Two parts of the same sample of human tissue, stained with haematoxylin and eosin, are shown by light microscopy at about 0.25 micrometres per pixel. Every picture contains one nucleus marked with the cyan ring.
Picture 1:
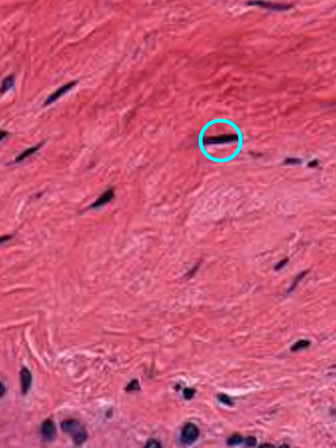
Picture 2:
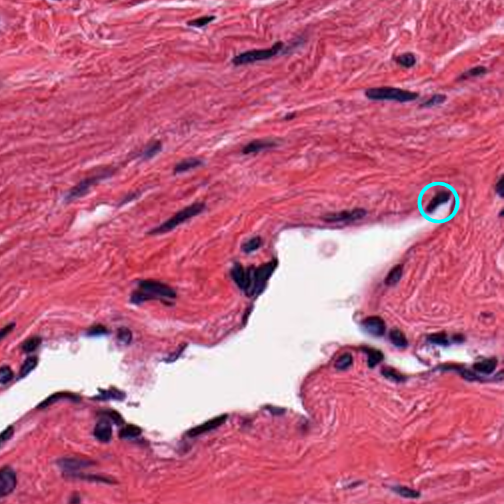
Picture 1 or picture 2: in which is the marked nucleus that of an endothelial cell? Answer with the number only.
2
